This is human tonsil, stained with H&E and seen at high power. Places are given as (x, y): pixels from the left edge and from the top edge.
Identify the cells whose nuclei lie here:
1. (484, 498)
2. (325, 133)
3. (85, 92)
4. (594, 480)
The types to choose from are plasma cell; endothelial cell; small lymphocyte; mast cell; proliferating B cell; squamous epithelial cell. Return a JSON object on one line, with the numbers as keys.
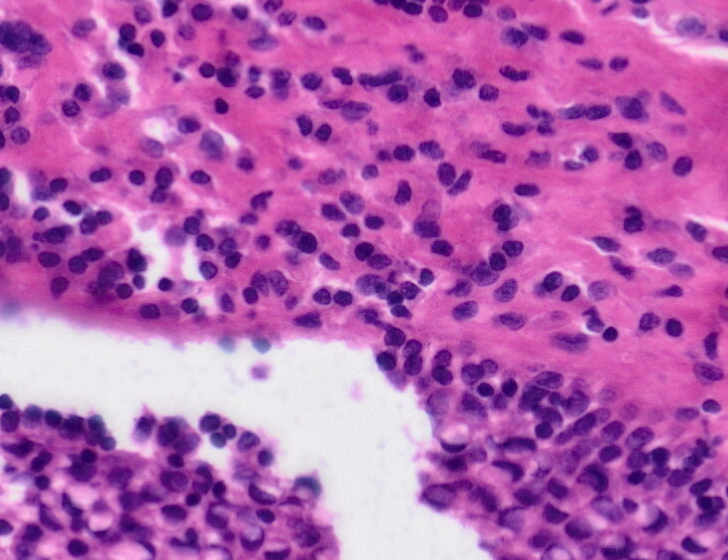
{"1": "squamous epithelial cell", "2": "plasma cell", "3": "plasma cell", "4": "squamous epithelial cell"}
